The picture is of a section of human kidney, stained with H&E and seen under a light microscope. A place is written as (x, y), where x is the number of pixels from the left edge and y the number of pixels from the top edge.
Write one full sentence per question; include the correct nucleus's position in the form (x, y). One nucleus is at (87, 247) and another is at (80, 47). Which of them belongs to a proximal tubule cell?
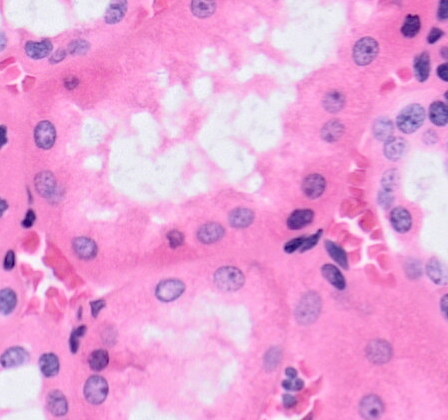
Assigned to a proximal tubule cell is the nucleus located at (87, 247).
